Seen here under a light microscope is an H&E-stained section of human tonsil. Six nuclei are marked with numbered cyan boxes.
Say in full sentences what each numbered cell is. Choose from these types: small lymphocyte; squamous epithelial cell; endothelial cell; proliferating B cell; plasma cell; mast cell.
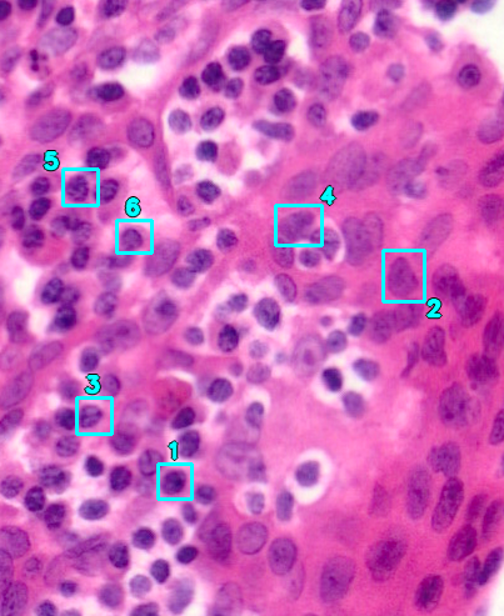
Cell 1 is a plasma cell, cell 2 is a squamous epithelial cell, cell 3 is a plasma cell, cell 4 is a squamous epithelial cell, cell 5 is a plasma cell and cell 6 is a plasma cell.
